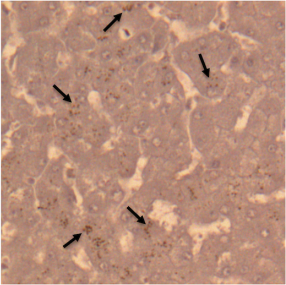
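Liver tissue of hepatocyte cords separated by pale, irregular sinusoidal spaces, with a faint brownish background and pale nuclei. Fine dark brown granules gather in clusters within the cytoplasm of some hepatocytes. Other hepatocytes show no such granules.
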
